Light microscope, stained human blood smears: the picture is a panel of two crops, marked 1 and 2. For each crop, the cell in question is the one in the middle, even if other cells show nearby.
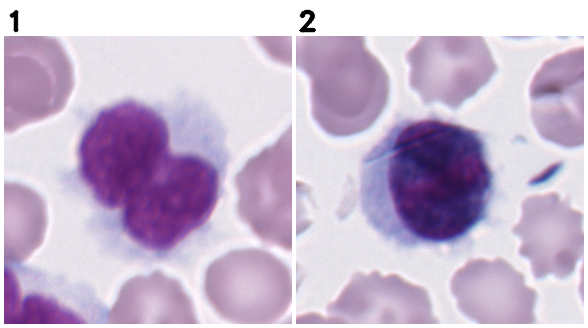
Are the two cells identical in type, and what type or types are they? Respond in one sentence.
Yes, the reply for both crops is hairy cells.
